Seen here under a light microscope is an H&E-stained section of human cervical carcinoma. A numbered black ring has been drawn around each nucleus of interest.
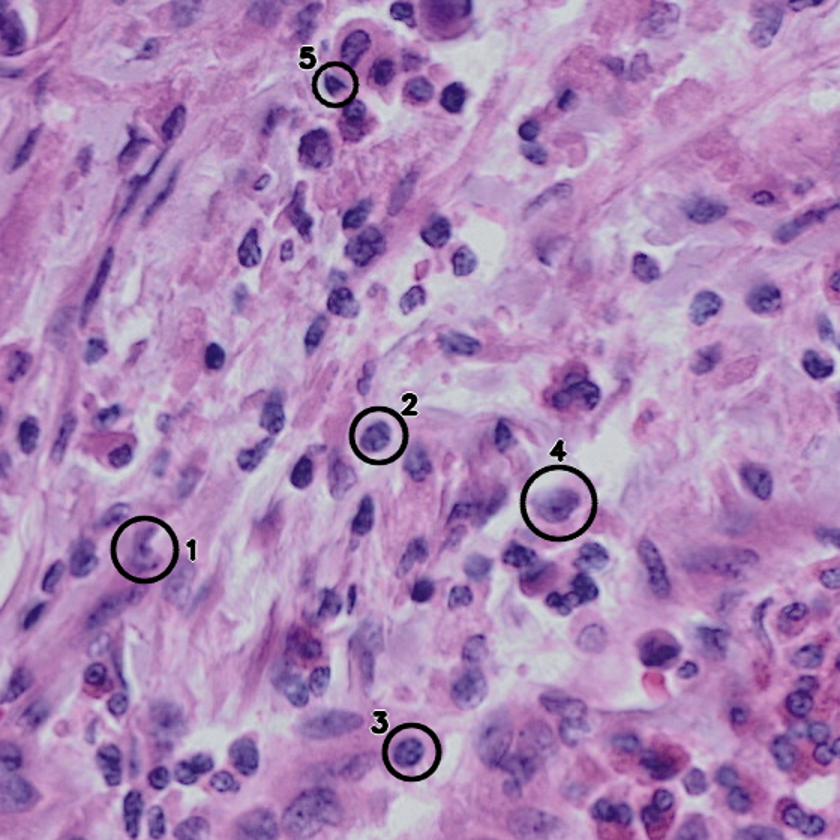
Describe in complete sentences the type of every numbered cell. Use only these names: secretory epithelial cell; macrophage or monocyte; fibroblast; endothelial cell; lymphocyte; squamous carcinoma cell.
Cell 1 is an endothelial cell, cell 2 is a lymphocyte, cell 3 is a lymphocyte, cell 4 is a macrophage or monocyte and cell 5 is a lymphocyte.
